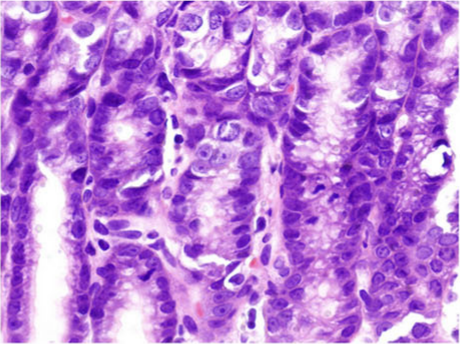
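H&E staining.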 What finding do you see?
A: Elongated and crowded glands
